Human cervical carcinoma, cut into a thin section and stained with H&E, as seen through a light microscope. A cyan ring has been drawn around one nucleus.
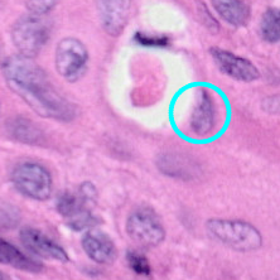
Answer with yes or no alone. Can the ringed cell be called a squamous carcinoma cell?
yes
